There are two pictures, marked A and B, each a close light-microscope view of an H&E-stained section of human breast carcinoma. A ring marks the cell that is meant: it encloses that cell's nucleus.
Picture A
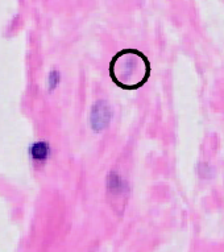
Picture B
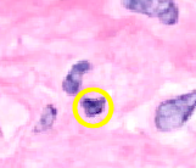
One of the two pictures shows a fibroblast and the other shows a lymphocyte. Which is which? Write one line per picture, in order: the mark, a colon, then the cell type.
A: fibroblast
B: lymphocyte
